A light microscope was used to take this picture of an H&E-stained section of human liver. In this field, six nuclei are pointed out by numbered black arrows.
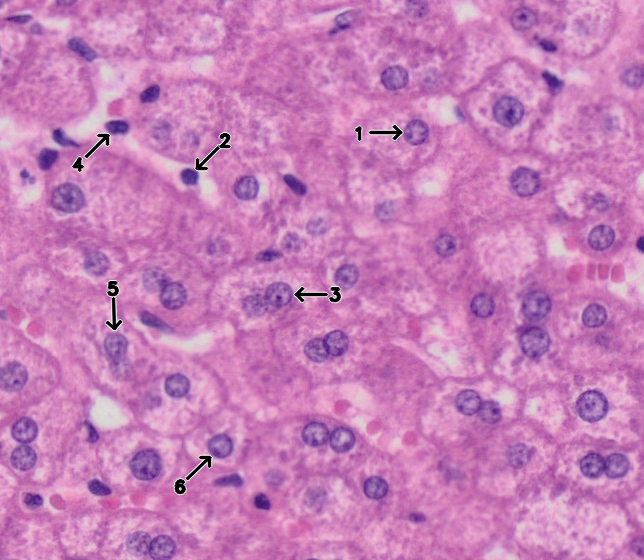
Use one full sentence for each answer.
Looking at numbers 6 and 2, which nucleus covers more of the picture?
Nucleus 6 covers more area, about 2 times as much as nucleus 2.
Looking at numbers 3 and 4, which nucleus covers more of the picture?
The larger nucleus is 3, at roughly 2 times the area of 4.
